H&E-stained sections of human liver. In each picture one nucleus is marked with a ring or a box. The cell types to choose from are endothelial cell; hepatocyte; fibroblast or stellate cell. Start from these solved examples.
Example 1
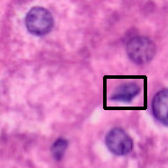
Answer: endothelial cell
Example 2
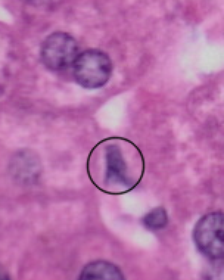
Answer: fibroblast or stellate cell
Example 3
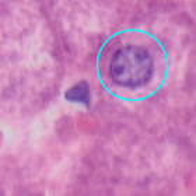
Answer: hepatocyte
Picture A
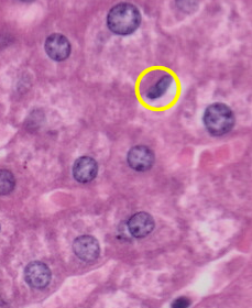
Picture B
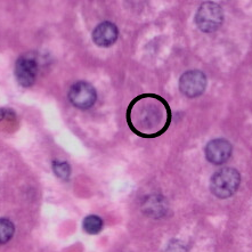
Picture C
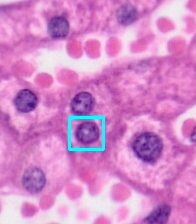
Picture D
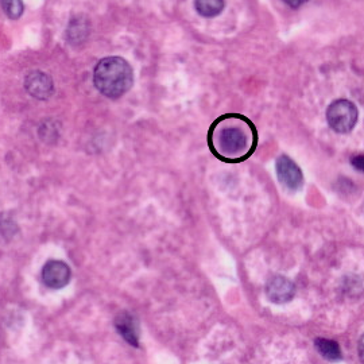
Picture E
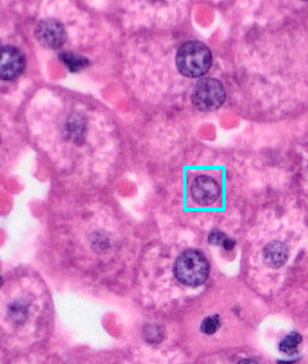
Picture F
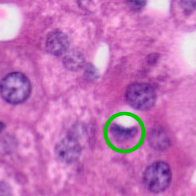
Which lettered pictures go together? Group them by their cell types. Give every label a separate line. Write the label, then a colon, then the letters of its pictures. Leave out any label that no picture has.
endothelial cell: A, F
hepatocyte: B, C, E
fibroblast or stellate cell: D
